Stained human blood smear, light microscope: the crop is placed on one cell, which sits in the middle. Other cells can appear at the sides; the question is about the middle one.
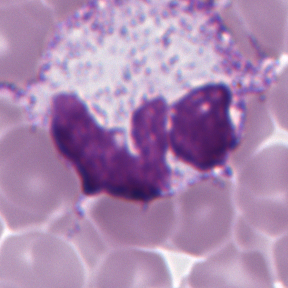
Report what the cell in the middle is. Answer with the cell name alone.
neutrophil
